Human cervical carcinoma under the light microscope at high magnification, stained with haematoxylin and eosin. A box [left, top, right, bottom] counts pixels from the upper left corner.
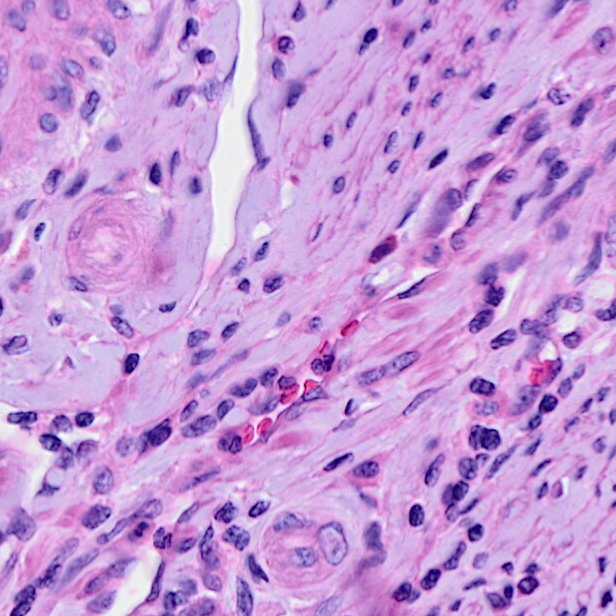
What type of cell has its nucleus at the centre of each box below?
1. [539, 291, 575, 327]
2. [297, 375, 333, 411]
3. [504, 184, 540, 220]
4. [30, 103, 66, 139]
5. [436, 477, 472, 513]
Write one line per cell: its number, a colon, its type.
1: endothelial cell
2: endothelial cell
3: fibroblast
4: smooth muscle cell
5: lymphocyte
